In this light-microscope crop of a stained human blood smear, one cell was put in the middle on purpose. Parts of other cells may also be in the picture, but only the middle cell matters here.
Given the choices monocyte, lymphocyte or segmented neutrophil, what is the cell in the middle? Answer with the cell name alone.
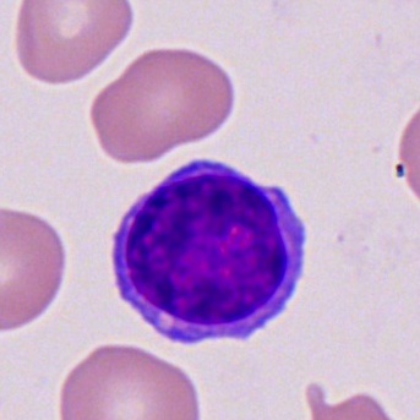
lymphocyte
